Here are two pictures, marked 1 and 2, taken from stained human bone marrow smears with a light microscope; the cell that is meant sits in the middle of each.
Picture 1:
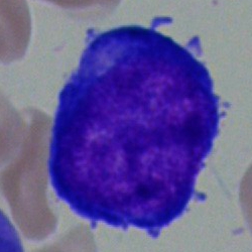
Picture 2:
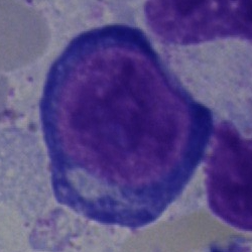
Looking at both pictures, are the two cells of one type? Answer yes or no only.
yes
